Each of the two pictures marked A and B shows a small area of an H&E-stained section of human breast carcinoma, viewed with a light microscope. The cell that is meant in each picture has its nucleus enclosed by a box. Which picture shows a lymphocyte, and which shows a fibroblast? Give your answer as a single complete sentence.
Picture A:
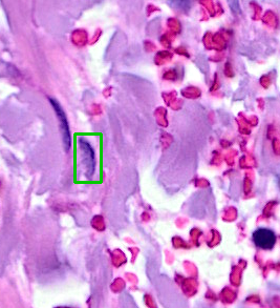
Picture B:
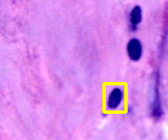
Picture A shows a fibroblast and picture B shows a lymphocyte.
